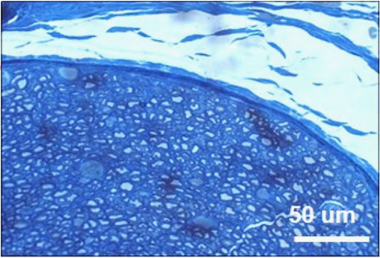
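Edge of a nerve cable in cross section, stained deep blue. The interior is packed with many small round pale profiles, each with a darker rim, consistent with cross-cut myelinated axons. A curved band of dense, smooth blue tissue bounds the cable along its upper edge. Outside this band lie pale, loosely arranged wavy fibrous layers. A few darker blue spots are scattered within the interior among the axon profiles.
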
